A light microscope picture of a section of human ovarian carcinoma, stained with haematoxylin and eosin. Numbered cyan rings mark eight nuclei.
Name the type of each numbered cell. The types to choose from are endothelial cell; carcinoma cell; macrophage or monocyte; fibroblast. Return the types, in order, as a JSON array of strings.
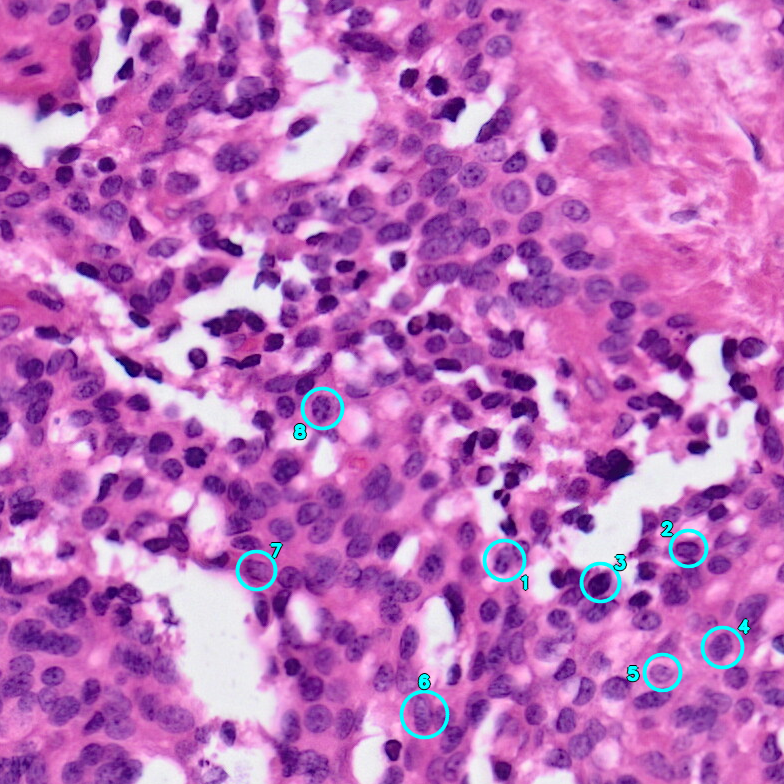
["macrophage or monocyte", "carcinoma cell", "carcinoma cell", "carcinoma cell", "macrophage or monocyte", "endothelial cell", "endothelial cell", "macrophage or monocyte"]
